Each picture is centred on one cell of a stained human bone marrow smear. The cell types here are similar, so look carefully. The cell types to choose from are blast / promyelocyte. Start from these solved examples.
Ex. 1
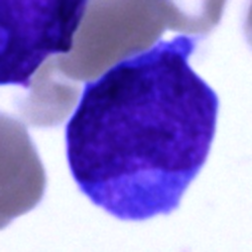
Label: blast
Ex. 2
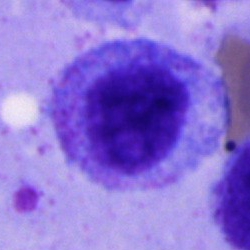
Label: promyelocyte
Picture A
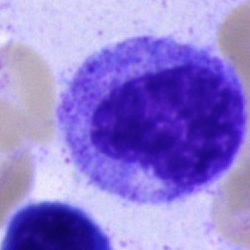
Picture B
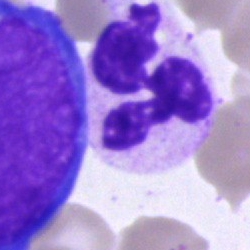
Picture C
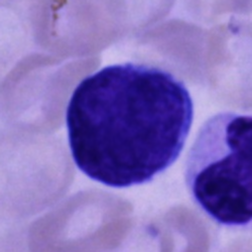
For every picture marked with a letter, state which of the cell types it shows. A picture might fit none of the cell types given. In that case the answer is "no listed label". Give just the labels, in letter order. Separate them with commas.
promyelocyte, no listed label, blast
